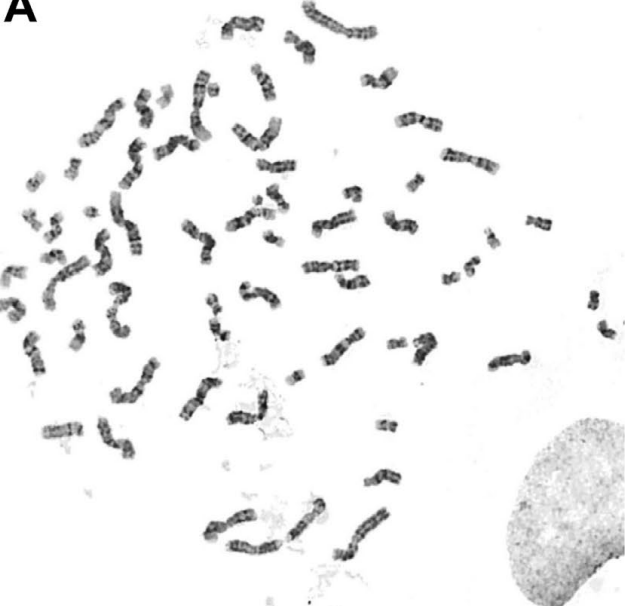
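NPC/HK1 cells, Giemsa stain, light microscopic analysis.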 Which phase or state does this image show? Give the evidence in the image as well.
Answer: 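Mitotic spread. Many separate condensed chromosomes with dark and light bands are scattered across the field. An intact interphase nucleus lies at the lower right beside the spread chromosomes.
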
